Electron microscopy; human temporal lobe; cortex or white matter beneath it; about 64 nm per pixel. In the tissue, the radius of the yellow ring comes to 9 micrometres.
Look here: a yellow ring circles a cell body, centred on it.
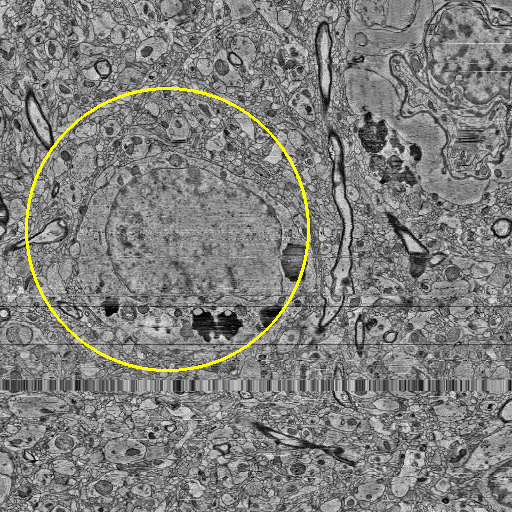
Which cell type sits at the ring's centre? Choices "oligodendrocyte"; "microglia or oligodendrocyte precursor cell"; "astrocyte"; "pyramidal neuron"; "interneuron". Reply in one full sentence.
The cell at the centre of the yellow ring in the picture is an interneuron.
